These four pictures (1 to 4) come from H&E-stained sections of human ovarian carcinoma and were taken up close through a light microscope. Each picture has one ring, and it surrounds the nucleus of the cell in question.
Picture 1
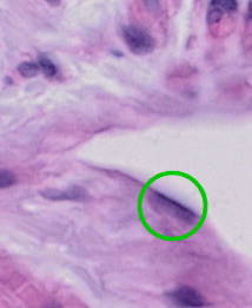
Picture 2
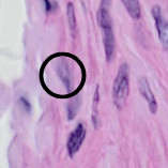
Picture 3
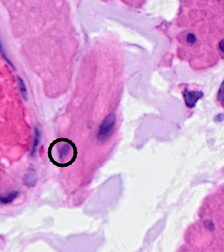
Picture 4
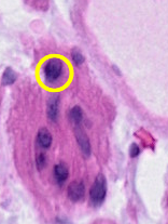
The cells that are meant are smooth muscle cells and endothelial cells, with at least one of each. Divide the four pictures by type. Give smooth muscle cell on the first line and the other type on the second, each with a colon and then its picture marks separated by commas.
smooth muscle cell: 2, 3, 4
endothelial cell: 1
